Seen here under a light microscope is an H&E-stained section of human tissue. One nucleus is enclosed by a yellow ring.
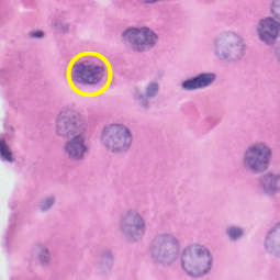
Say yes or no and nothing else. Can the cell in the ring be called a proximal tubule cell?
yes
